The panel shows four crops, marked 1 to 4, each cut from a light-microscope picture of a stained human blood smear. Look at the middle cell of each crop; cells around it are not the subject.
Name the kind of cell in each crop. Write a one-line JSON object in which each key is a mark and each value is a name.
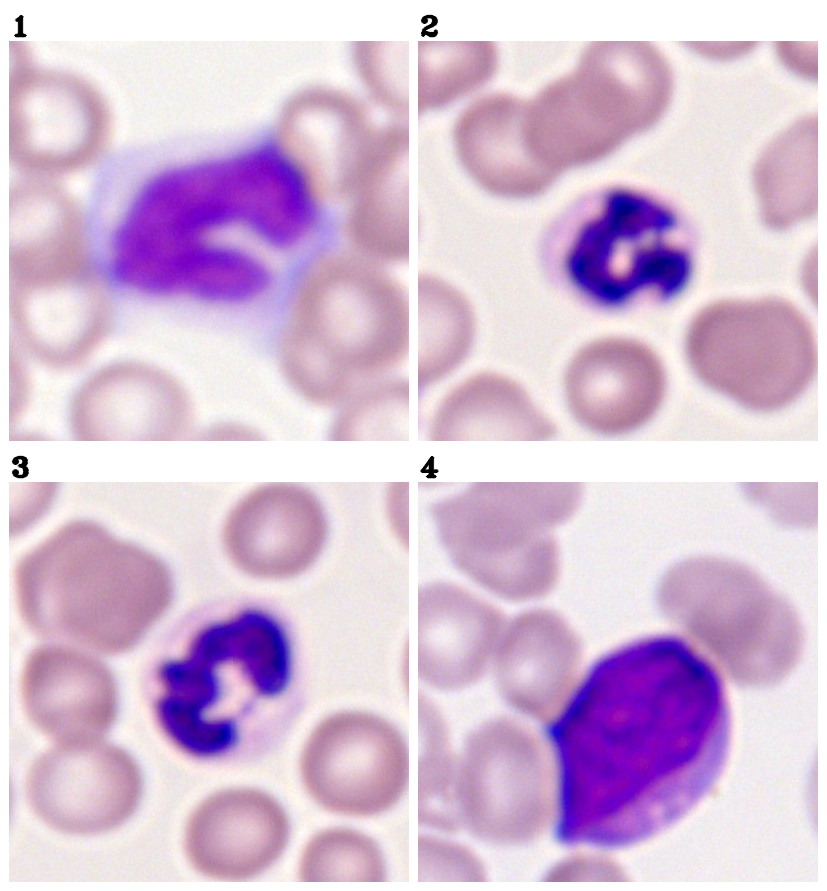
{"1": "monocyte", "2": "neutrophil", "3": "neutrophil", "4": "blast"}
